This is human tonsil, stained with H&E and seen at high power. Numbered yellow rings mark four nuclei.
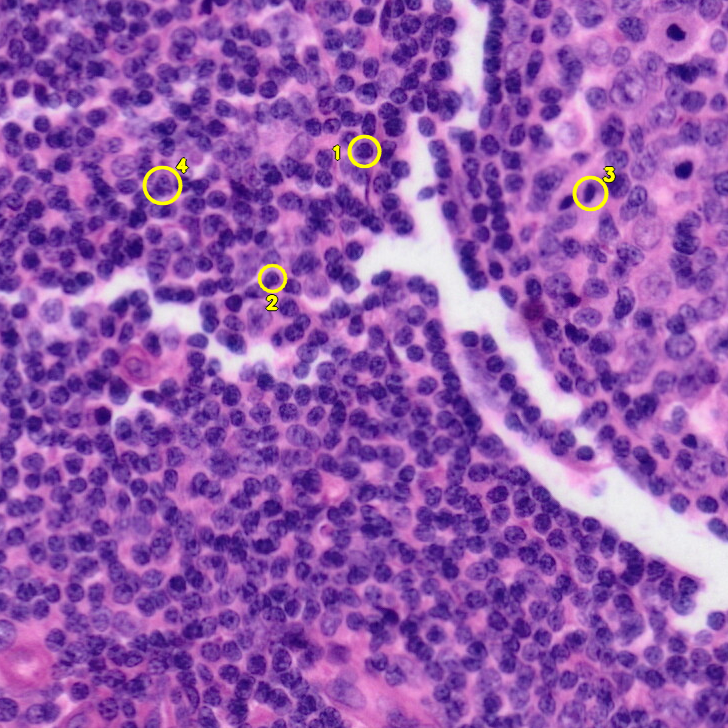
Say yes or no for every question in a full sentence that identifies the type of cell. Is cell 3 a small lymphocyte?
No, the identification of cell 3 as a small lymphocyte is incorrect; it is a proliferating B cell.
